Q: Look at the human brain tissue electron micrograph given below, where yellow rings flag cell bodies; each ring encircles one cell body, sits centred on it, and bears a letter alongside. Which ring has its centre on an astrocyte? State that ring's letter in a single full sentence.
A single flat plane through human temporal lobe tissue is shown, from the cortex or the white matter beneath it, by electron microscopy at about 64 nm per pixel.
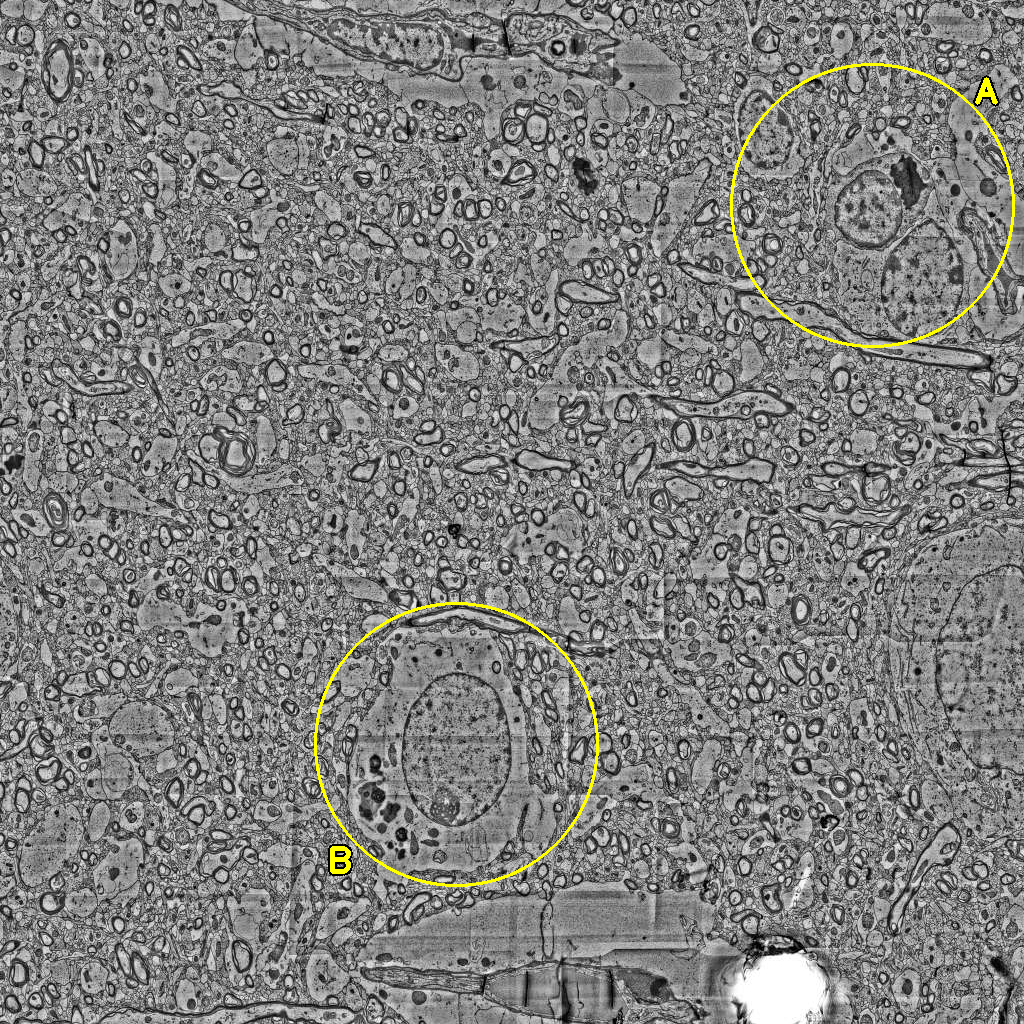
In the picture, the cell of that kind sits at the centre of ring B.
